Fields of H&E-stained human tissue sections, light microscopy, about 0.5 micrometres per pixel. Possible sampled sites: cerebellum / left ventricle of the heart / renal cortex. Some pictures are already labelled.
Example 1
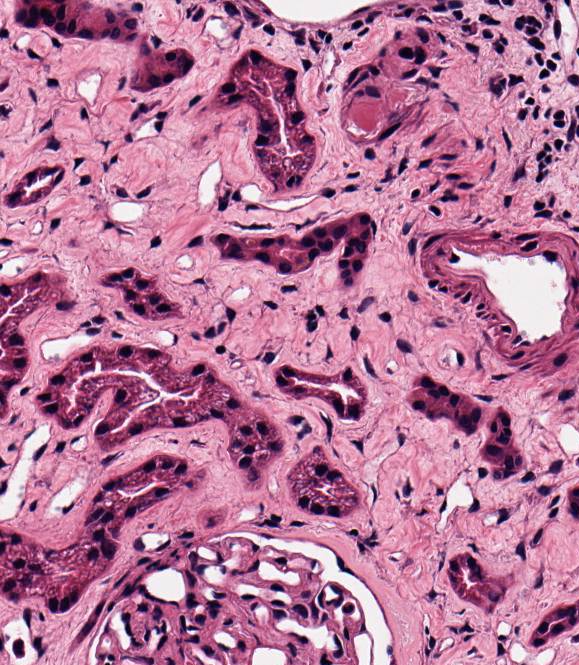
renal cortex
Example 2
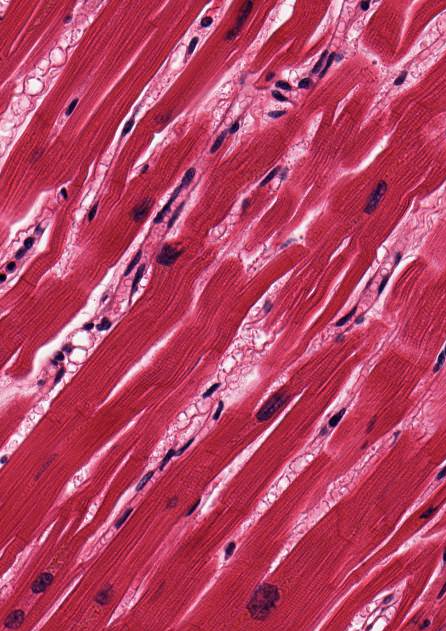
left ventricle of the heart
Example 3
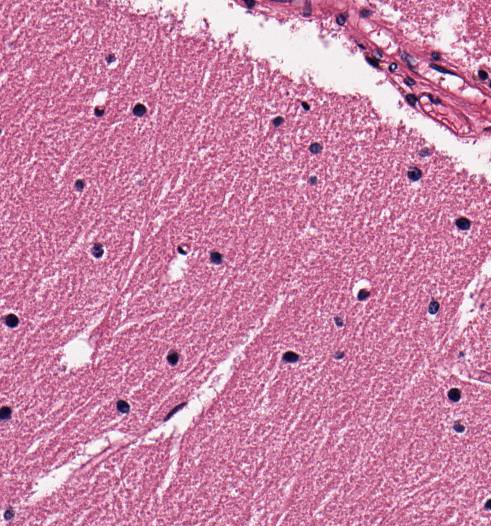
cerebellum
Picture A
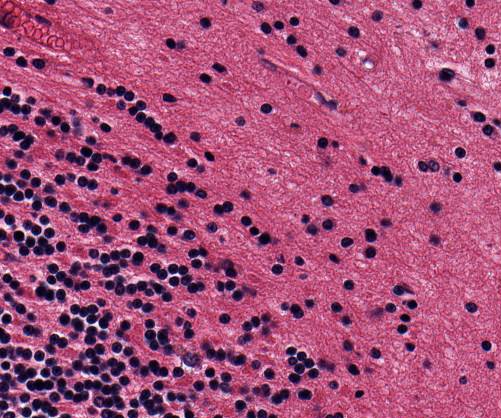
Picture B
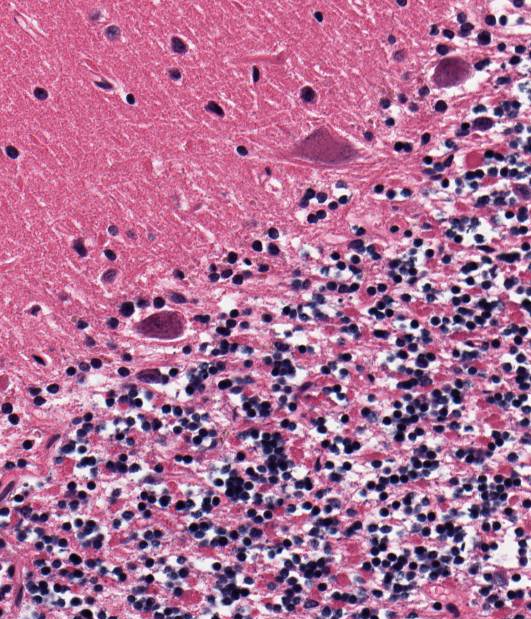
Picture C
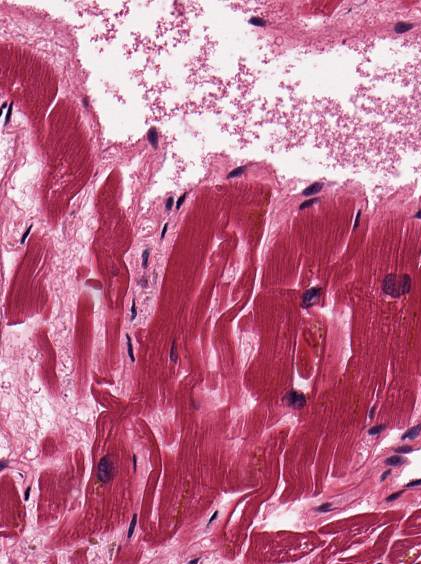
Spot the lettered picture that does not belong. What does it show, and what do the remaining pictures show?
Picture C: left ventricle of the heart. All others: cerebellum.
